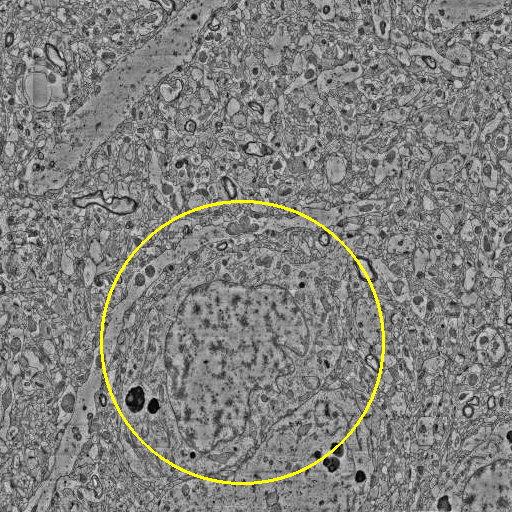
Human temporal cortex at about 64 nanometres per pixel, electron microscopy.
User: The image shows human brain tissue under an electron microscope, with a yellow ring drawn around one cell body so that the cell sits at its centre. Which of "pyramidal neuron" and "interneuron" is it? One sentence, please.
At the centre of the ring sits an interneuron.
